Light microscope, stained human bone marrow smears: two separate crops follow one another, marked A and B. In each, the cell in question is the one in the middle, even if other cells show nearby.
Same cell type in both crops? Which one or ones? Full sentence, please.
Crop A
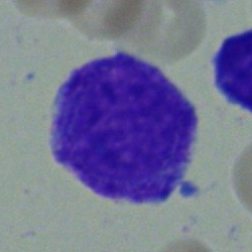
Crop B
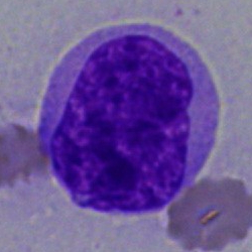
Yes, in the case of both crops, the central cells are blasts.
